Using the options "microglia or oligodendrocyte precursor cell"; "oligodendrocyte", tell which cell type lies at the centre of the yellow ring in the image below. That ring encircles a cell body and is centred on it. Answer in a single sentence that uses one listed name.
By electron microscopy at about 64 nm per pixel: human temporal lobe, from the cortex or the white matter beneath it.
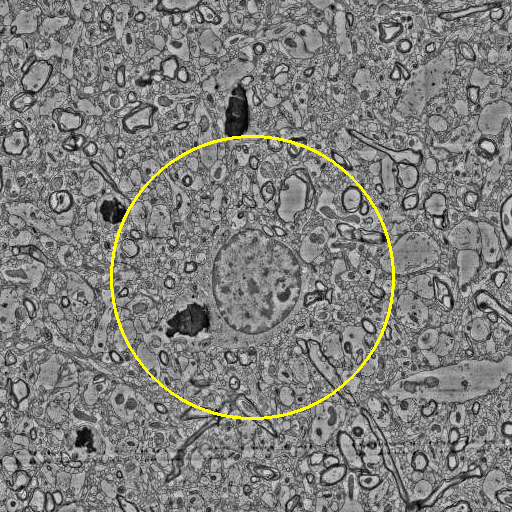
At the centre of the yellow ring lies the body of an oligodendrocyte.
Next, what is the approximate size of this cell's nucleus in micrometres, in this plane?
The nucleus appears roughly 7 by 6 micrometres in this plane.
